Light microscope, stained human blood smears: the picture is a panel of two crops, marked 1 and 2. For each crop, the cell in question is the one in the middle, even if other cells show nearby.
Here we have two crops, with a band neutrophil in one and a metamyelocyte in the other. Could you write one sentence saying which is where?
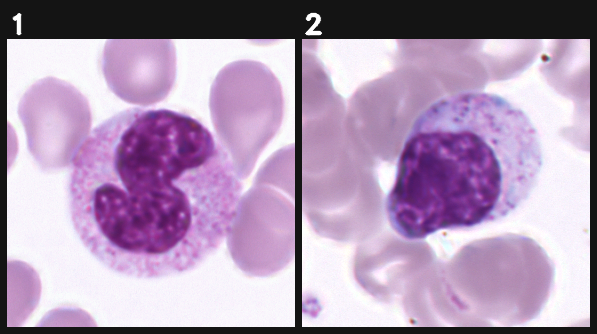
To sum up the two crops, crop 1 is a band neutrophil and crop 2 is a metamyelocyte.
